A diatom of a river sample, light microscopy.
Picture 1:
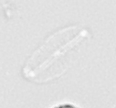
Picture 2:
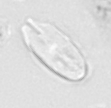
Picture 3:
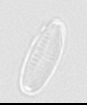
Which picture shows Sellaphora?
Picture 2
